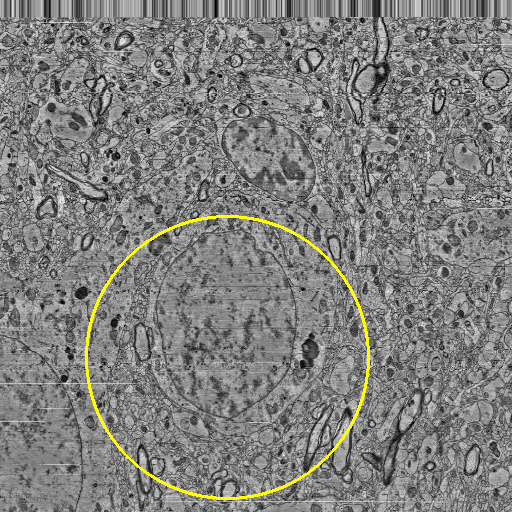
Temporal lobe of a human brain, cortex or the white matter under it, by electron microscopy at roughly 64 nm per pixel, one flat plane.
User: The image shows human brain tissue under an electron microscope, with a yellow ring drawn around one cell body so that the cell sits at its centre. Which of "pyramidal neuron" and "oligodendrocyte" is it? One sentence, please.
At the centre of the ring sits a pyramidal neuron.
